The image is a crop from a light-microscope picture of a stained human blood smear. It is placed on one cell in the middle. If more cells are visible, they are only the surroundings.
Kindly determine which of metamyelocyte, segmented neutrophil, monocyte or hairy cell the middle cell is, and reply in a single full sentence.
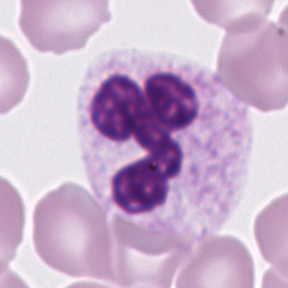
The cell centred in this crop is categorized as a segmented neutrophil.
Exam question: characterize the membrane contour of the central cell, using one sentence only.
Its periphery is smooth, and no projections arise from it.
